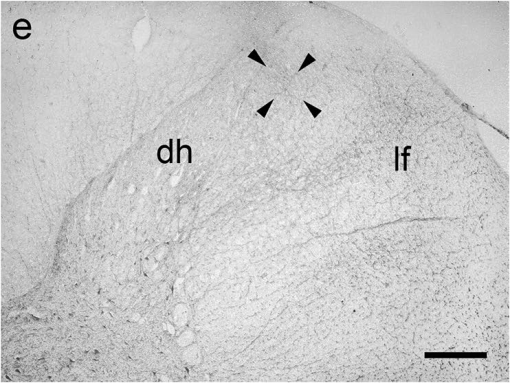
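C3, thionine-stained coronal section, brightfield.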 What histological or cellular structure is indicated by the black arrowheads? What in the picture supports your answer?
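The four arrowheads frame a small area in the white matter dorsolateral to the dorsal horn.
Hence: lateral cervical nucleus.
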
